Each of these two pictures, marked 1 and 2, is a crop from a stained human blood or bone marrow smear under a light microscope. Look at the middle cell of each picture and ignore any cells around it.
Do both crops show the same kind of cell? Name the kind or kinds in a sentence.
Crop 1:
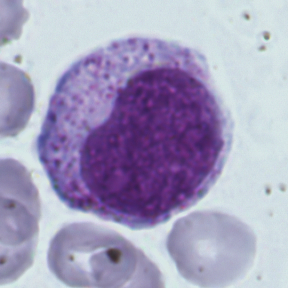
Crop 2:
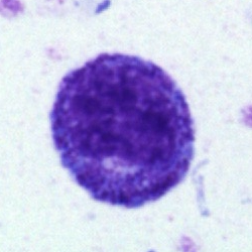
Yes, the two crops show promyelocytes, one cell each.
